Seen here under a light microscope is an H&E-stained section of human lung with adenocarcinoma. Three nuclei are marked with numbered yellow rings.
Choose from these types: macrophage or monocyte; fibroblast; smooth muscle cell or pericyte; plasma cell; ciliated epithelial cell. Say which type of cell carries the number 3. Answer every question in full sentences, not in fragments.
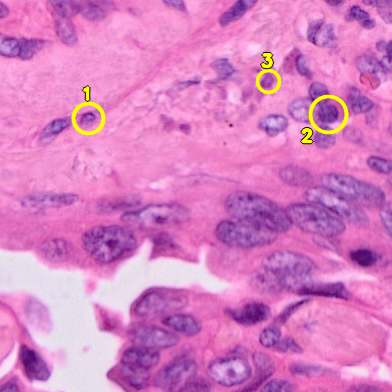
The cell indicated by marker 3 is a plasma cell in this section.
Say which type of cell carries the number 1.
Cell number 1 in this section is a smooth muscle cell or pericyte.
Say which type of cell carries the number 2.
Numbered cell 2 is a plasma cell in this tissue section.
